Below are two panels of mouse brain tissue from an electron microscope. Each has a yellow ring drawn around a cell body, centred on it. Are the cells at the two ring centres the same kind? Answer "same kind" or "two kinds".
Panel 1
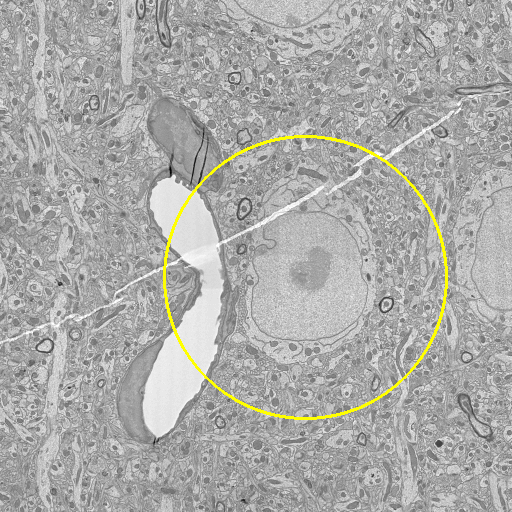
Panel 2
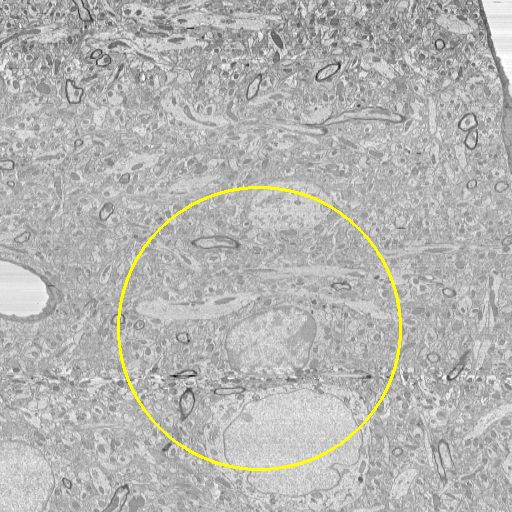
two kinds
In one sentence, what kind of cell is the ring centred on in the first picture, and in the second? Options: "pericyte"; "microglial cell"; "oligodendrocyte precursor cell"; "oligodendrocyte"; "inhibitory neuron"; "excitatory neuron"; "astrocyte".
The cell at the centre of the second ring is an oligodendrocyte; the first ring's cell is an excitatory neuron.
